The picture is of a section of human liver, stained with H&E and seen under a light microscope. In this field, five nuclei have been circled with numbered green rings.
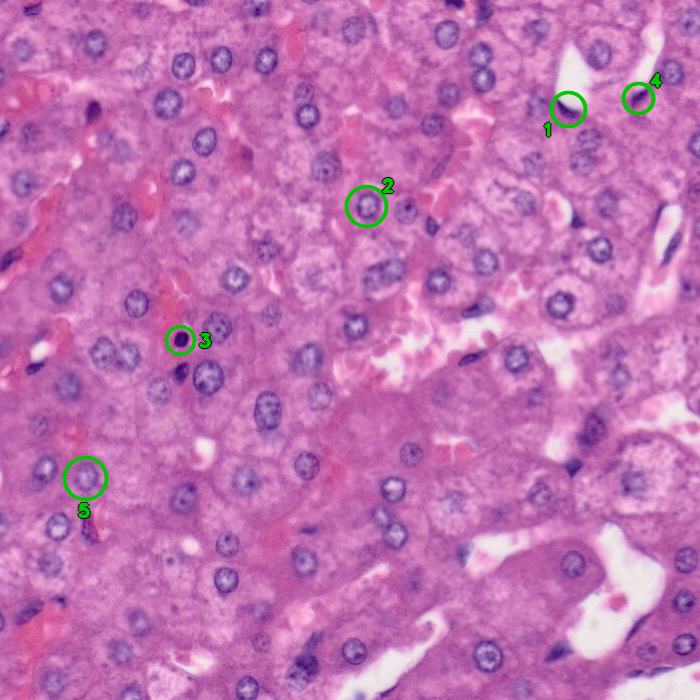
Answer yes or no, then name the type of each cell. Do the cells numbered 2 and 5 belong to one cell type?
Yes, of the numbered cells, 2 and 5 are both hepatocytes.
